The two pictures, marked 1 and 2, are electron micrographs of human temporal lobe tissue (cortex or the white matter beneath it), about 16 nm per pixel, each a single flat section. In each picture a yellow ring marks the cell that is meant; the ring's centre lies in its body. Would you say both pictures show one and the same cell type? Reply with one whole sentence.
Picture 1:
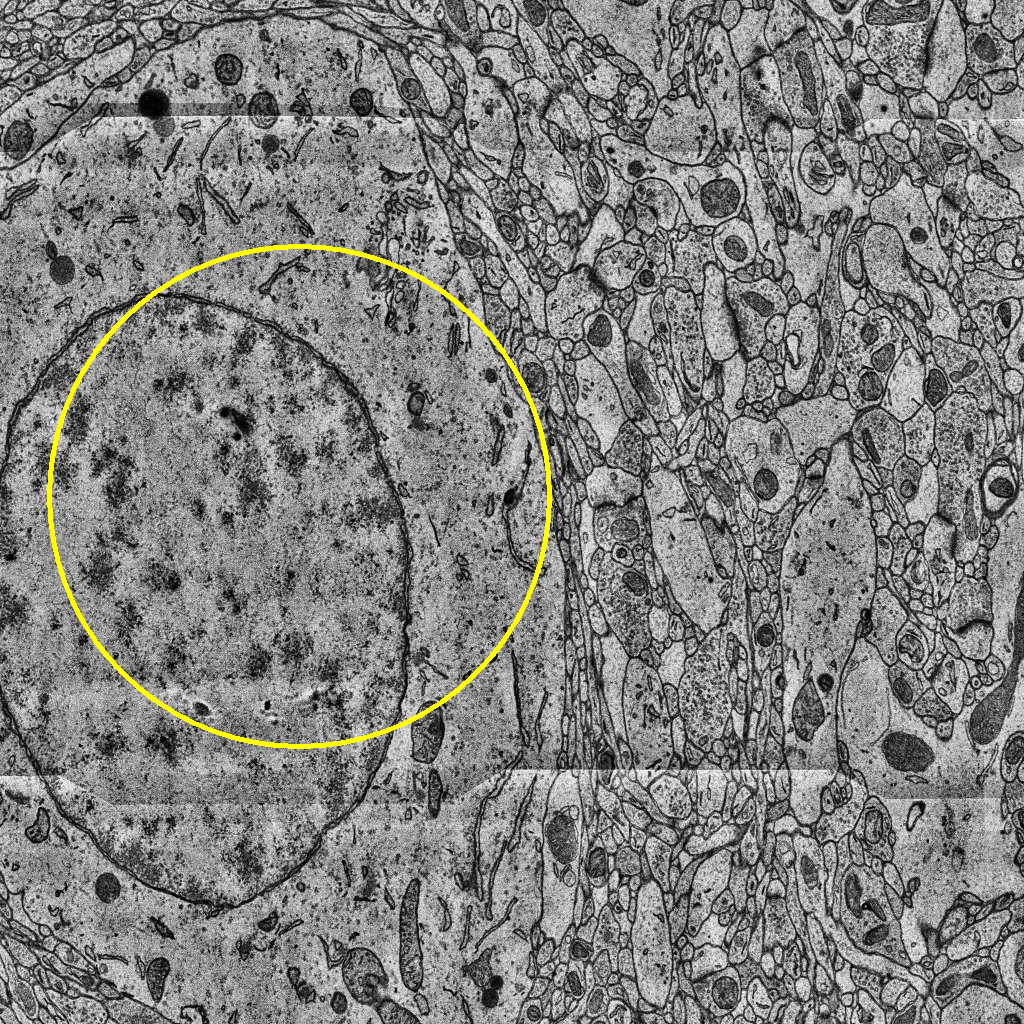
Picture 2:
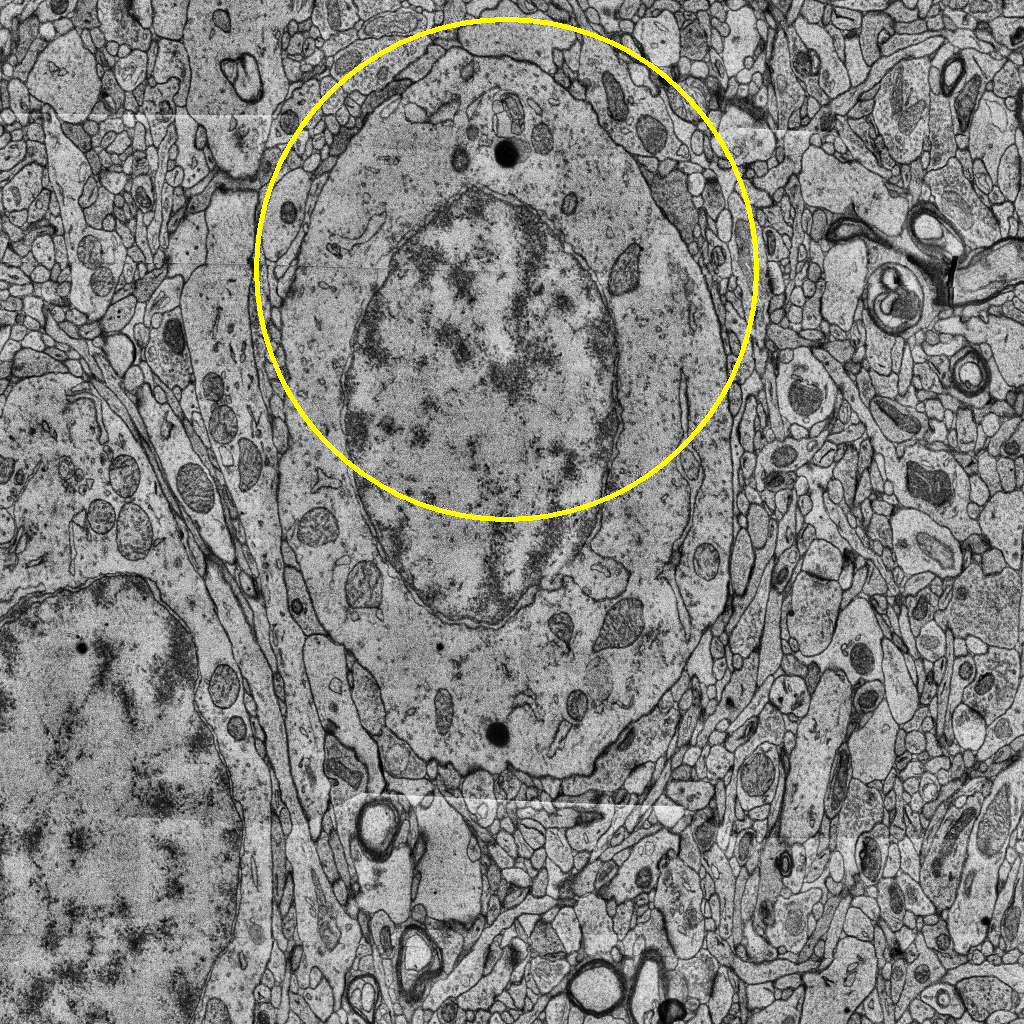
Yes, the two pictures both show pyramidal neurons.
